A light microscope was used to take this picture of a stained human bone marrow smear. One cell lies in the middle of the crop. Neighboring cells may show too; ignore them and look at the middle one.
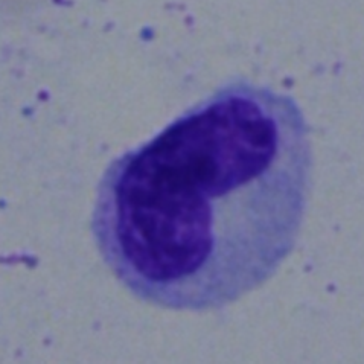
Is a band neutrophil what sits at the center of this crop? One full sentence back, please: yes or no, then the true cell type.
Yes, that is right: the middle cell is a band neutrophil.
